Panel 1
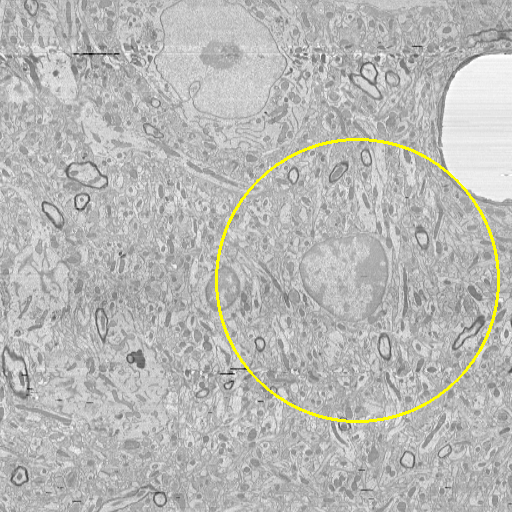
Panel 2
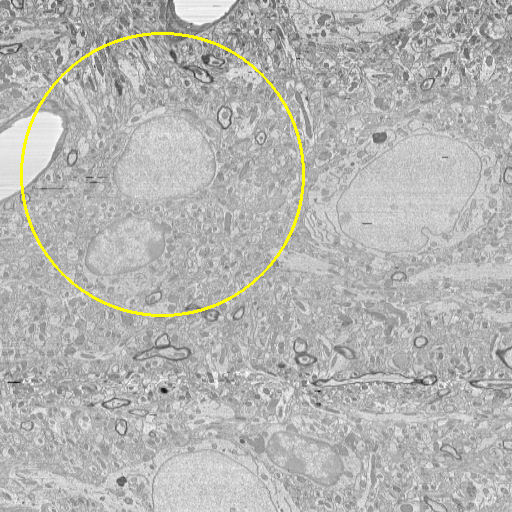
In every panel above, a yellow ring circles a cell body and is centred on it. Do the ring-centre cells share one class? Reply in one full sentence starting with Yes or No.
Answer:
No, the two cells at the ring centres in the panels belong to two classes.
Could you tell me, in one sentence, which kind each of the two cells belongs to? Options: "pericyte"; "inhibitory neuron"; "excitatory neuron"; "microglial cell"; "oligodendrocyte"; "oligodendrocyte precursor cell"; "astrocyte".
At the centre of the first ring sits an oligodendrocyte, and at the centre of the second sits an astrocyte.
